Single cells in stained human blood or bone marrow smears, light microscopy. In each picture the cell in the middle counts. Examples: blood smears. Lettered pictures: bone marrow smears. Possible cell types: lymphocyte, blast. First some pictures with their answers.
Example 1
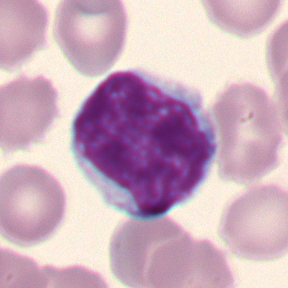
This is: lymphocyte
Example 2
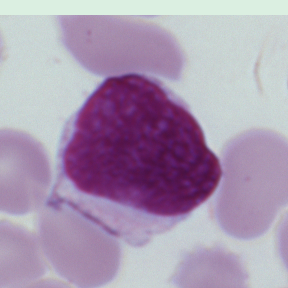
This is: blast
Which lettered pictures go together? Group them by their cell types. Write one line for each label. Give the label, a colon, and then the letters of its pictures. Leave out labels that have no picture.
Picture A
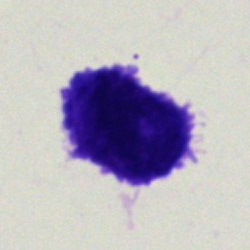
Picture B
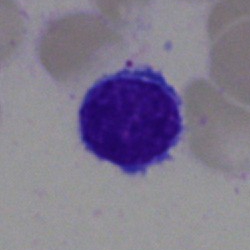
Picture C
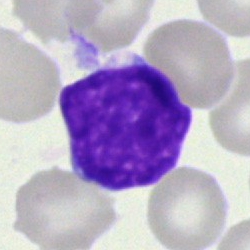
lymphocyte: B
blast: A, C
